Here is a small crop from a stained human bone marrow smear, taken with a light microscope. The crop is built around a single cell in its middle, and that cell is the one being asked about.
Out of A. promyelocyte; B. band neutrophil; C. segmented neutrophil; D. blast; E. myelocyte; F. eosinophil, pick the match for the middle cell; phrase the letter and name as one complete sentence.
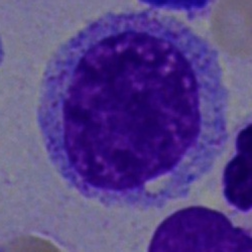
The central cell of the crop is a promyelocyte, which makes A the correct option.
